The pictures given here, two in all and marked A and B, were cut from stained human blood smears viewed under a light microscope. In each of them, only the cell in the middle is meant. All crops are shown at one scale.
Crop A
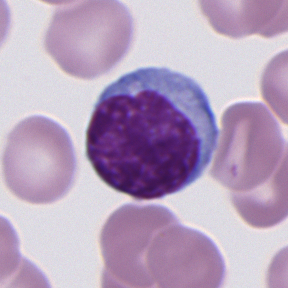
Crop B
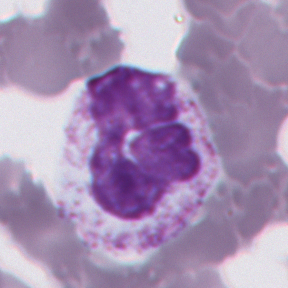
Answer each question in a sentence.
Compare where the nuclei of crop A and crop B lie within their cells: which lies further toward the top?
Seen within its cell, the nucleus in crop B lies further toward the top.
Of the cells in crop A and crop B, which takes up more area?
Crop B holds the larger cell; it covers about 1.5 times the area of the cell in crop A.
